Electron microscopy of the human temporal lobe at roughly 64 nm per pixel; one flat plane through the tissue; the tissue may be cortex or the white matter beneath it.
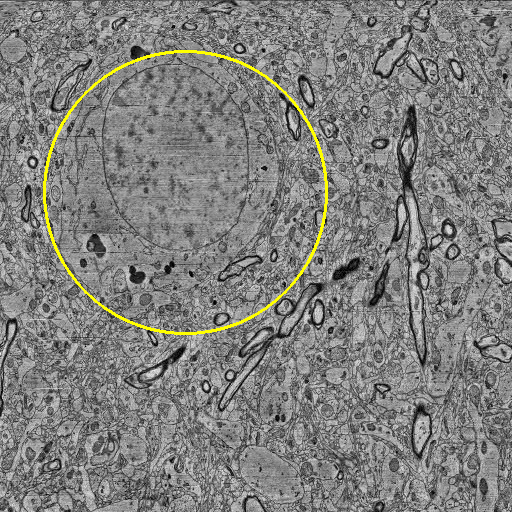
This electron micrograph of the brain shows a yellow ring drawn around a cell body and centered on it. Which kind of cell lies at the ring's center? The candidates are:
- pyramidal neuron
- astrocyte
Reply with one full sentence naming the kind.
The cell lying at the ring's center in this micrograph is a pyramidal neuron.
